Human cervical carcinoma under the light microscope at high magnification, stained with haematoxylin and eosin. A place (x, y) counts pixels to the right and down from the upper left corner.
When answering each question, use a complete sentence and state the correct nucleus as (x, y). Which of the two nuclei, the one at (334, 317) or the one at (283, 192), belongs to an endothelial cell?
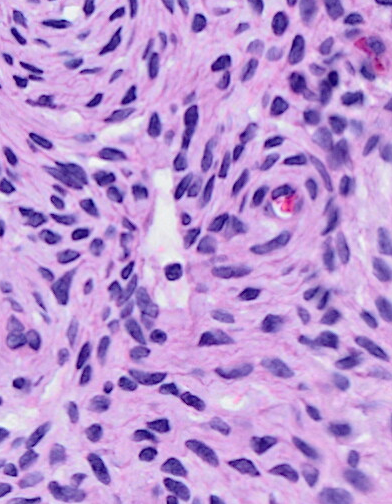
Of the two nuclei, the nucleus belonging to an endothelial cell is located at (283, 192).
